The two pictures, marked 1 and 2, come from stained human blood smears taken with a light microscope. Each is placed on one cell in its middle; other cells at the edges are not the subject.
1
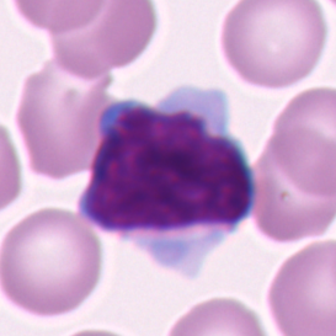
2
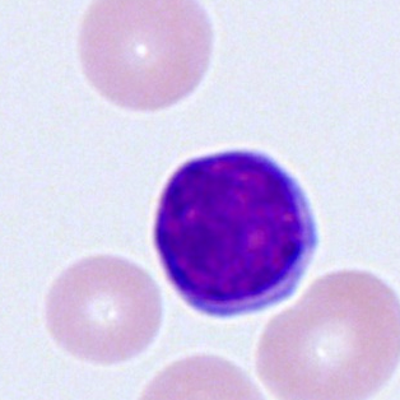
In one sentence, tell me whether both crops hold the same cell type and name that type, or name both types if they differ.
Yes, the cells in both crops are lymphocytes.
